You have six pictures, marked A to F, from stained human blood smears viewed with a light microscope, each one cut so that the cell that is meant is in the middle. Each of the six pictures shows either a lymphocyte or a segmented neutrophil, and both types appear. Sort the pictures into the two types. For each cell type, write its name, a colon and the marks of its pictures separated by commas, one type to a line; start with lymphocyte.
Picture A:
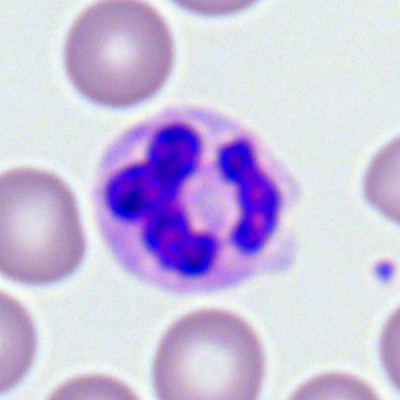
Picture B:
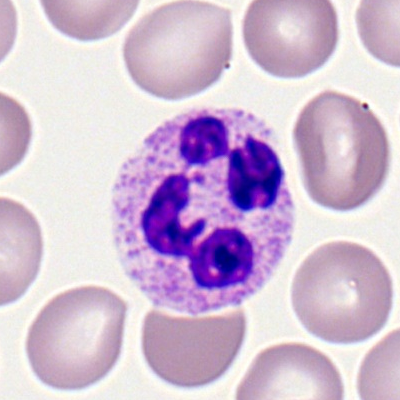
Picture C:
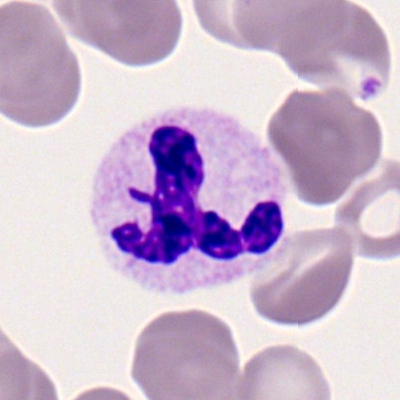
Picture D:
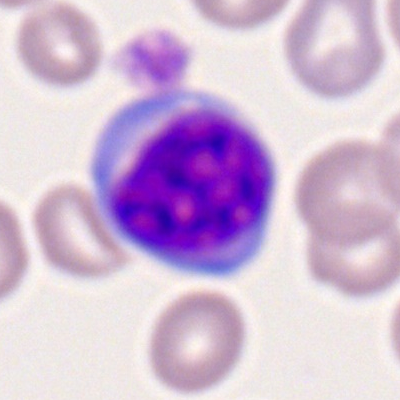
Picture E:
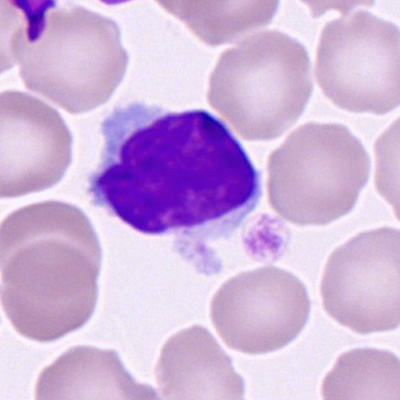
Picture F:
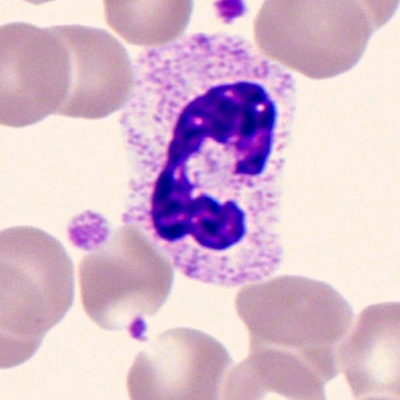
lymphocyte: D, E
segmented neutrophil: A, B, C, F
